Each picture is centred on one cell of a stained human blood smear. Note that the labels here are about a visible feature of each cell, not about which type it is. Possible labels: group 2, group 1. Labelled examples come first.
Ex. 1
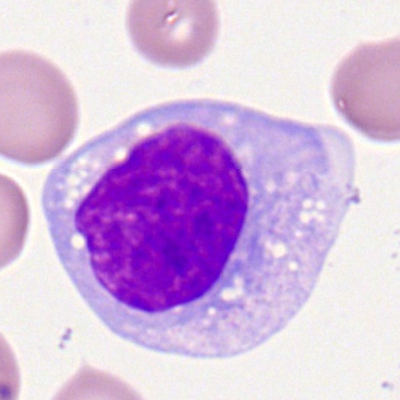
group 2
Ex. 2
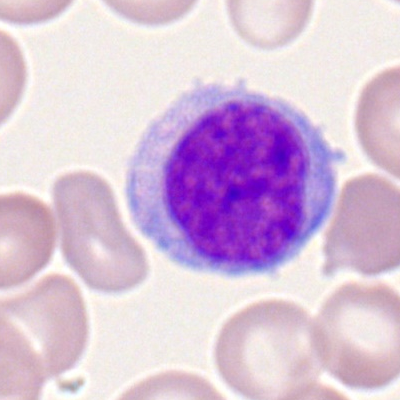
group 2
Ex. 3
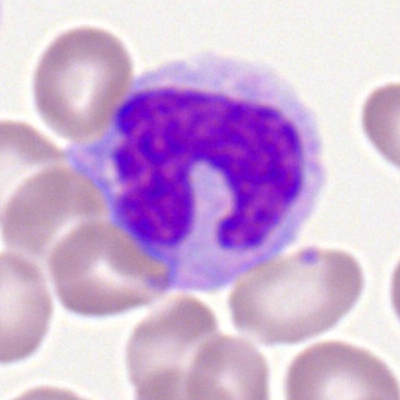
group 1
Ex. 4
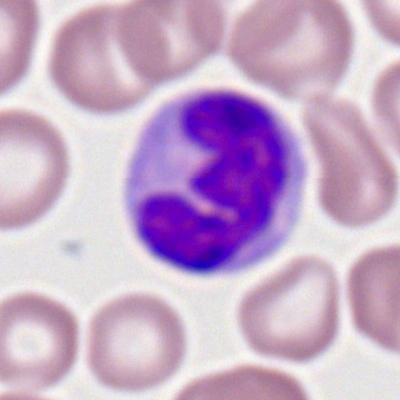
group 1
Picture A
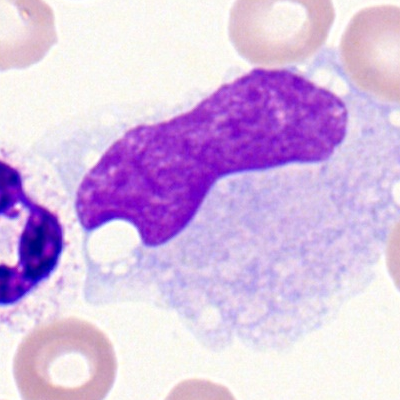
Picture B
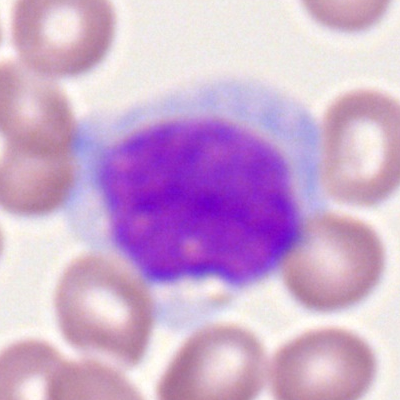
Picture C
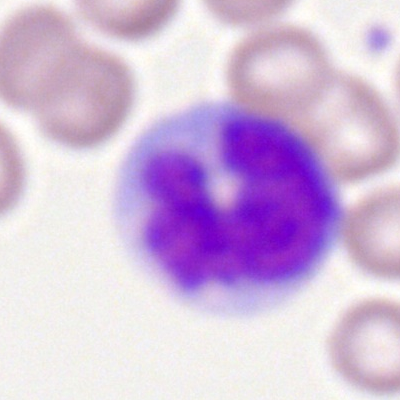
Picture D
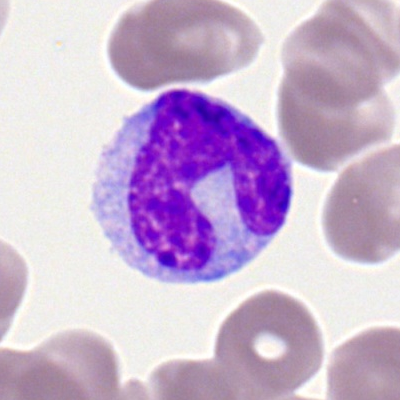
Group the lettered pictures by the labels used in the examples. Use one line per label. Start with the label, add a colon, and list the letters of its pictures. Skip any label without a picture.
group 2: B
group 1: A, C, D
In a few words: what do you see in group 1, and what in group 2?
Seen in group 1: band-shaped nucleus; seen in group 2: round or oval nucleus.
